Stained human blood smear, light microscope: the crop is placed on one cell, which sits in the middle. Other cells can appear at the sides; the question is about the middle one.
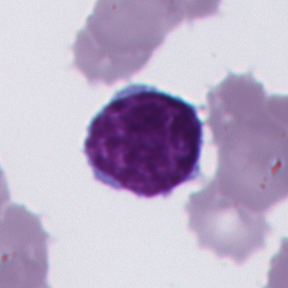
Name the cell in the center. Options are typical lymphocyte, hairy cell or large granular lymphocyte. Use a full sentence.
The cell in the exact centre of the crop is a typical lymphocyte.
